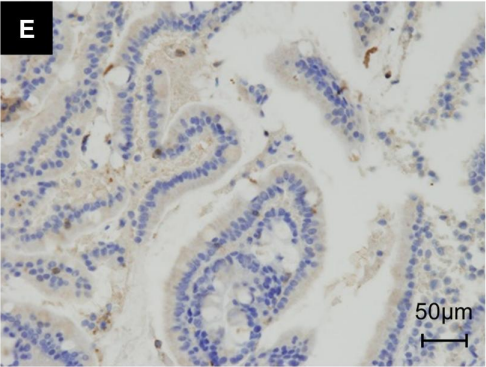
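The section shows folded fronds lined by a single layer of tall columnar epithelial cells with elongated blue nuclei at their bases. Rounded clear vacuoles are interspersed among the lining cells. Only a few small brown-stained cells are present, with faint tan staining in the stroma at the cores of the folds. Clear spaces separate the fronds.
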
